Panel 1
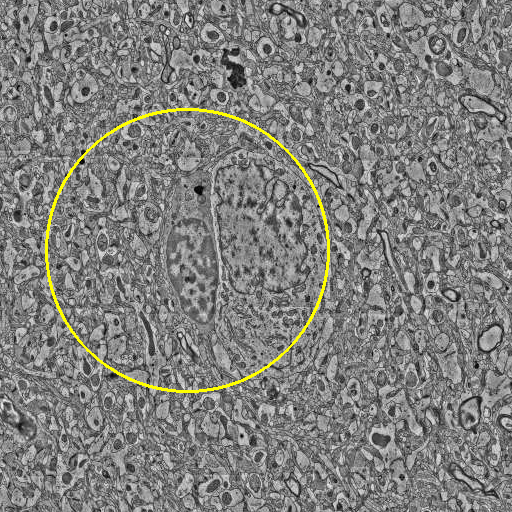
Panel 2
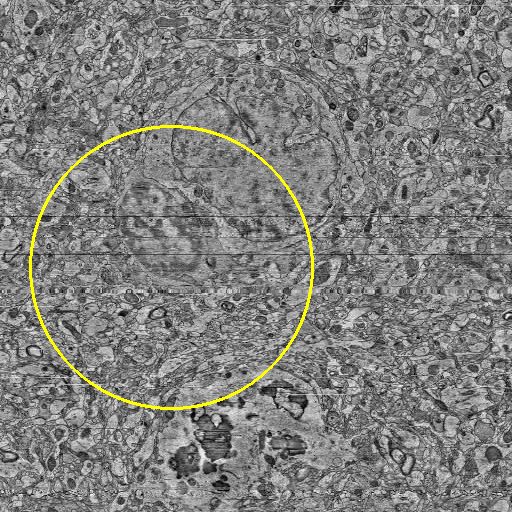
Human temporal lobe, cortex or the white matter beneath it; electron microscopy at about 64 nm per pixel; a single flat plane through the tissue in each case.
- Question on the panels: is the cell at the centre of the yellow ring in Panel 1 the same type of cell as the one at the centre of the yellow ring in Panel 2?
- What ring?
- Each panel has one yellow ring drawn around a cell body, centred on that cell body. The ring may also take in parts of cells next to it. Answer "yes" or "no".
yes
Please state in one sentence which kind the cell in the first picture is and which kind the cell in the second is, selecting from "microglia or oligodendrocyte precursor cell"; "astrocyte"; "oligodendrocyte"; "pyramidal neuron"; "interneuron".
Each cell at the centre of a ring is an oligodendrocyte.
